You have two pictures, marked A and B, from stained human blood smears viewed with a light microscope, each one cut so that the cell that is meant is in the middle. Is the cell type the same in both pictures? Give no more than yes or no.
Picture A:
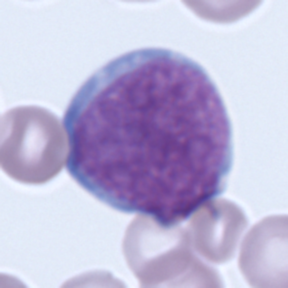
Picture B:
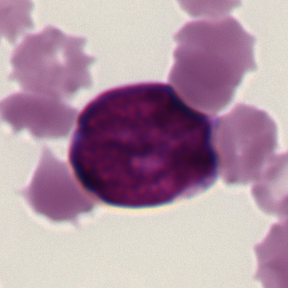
yes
